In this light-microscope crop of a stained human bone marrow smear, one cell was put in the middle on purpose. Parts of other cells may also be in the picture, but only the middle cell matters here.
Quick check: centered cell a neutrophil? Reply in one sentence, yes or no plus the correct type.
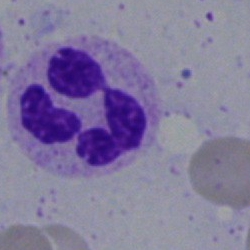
Yes, it is a neutrophil that is seen at the centre of the crop.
